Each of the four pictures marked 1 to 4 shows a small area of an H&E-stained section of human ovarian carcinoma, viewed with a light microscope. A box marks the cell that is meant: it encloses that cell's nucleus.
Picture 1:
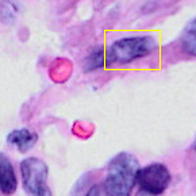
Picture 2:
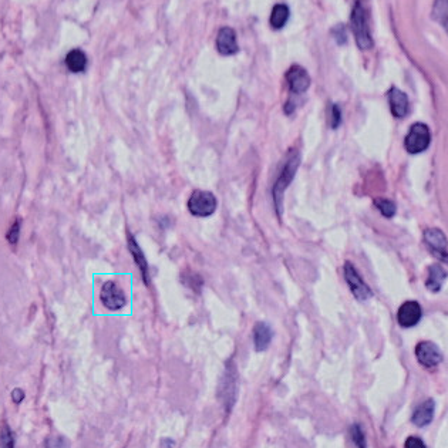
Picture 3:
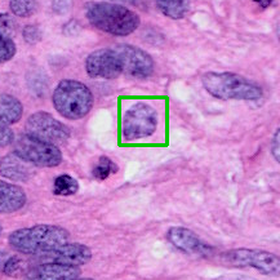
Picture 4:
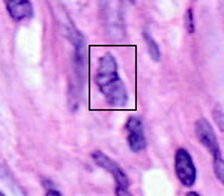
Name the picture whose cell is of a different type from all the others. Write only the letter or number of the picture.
2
